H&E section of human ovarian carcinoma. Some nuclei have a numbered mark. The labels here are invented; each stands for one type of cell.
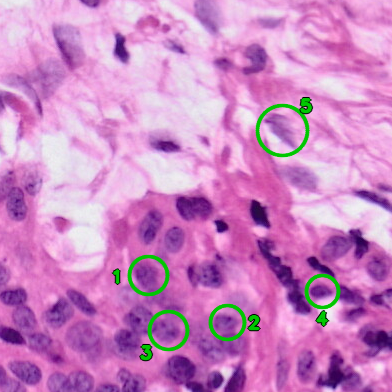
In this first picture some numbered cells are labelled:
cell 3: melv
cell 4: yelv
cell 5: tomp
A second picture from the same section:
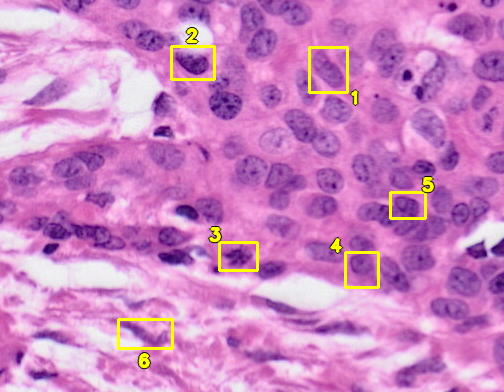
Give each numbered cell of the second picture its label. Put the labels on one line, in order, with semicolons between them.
melv; melv; yelv; melv; melv; tomp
